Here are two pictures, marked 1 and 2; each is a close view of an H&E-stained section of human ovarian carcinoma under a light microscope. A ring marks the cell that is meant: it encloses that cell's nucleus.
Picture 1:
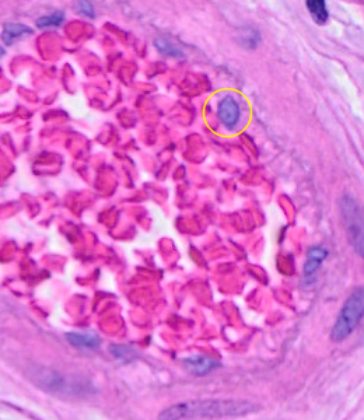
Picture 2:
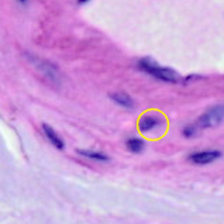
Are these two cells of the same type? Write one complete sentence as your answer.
No, picture 1 shows an endothelial cell and picture 2 shows a smooth muscle cell.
